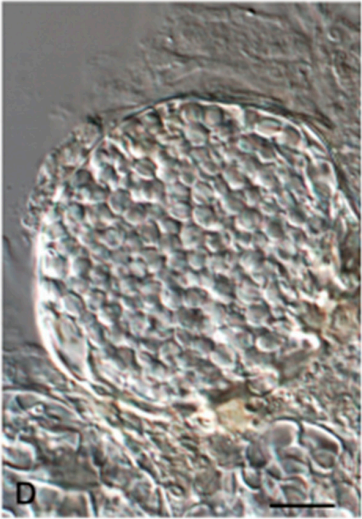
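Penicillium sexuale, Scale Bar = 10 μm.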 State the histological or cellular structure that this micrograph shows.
Ascomata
